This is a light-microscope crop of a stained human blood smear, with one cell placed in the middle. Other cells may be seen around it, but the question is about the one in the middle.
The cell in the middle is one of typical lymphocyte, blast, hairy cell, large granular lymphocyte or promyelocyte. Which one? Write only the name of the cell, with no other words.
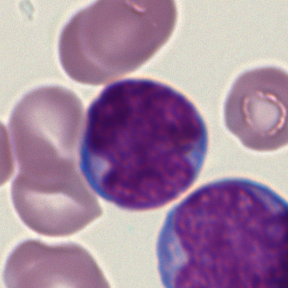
blast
